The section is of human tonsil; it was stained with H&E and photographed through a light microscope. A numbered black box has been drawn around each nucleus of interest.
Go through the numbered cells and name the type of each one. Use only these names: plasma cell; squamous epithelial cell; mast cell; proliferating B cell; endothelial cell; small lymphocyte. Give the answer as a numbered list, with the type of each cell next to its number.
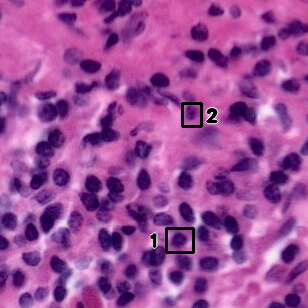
1. plasma cell
2. endothelial cell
